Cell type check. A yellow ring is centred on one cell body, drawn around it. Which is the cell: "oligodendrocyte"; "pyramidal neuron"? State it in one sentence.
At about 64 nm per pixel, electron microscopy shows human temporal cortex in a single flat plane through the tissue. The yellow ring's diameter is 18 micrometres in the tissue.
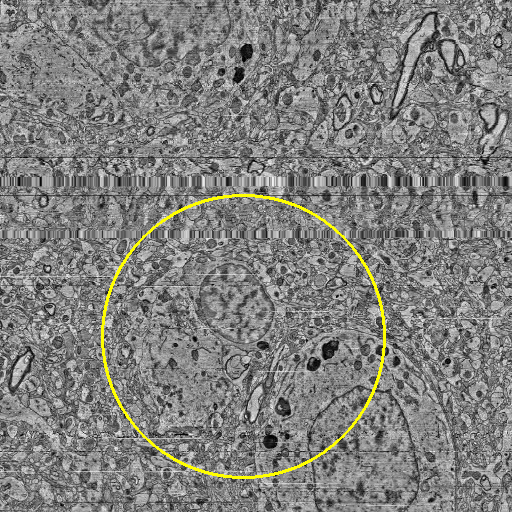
The cell body at the ring's centre belongs to an oligodendrocyte.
